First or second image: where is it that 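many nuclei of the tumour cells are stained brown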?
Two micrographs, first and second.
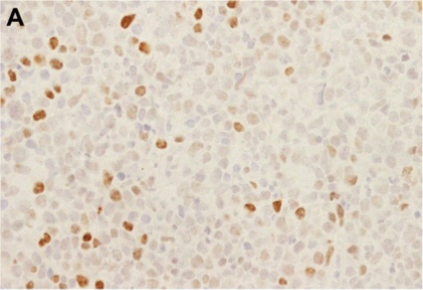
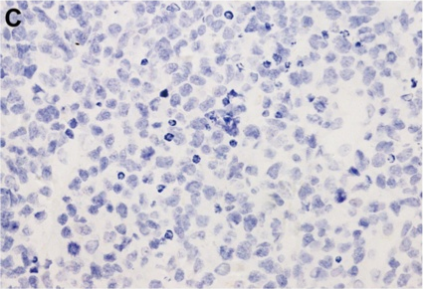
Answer: The first image.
